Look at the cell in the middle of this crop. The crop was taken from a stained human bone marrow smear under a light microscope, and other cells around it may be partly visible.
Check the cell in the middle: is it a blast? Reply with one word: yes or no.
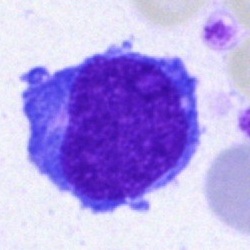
yes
